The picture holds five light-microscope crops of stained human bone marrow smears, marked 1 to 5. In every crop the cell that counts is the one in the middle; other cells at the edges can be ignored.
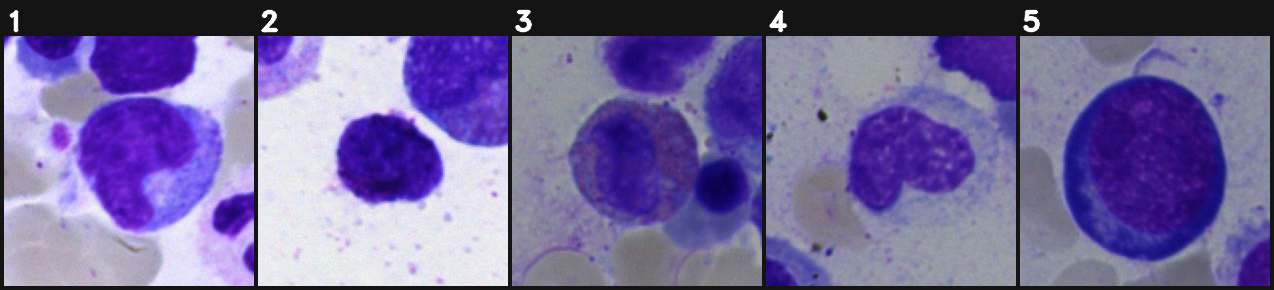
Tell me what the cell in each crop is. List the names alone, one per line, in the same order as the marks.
monocyte
basophil
eosinophil
band neutrophil
proerythroblast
